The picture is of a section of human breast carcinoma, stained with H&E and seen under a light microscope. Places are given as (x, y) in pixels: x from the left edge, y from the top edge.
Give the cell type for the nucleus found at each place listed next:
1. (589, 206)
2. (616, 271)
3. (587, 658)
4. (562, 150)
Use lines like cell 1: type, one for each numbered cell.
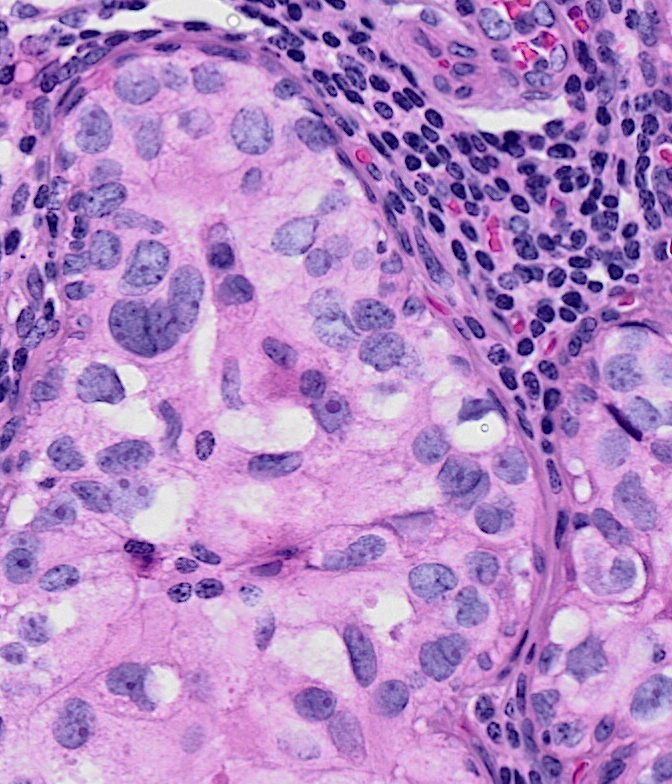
cell 1: lymphocyte
cell 2: lymphocyte
cell 3: carcinoma cell
cell 4: lymphocyte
